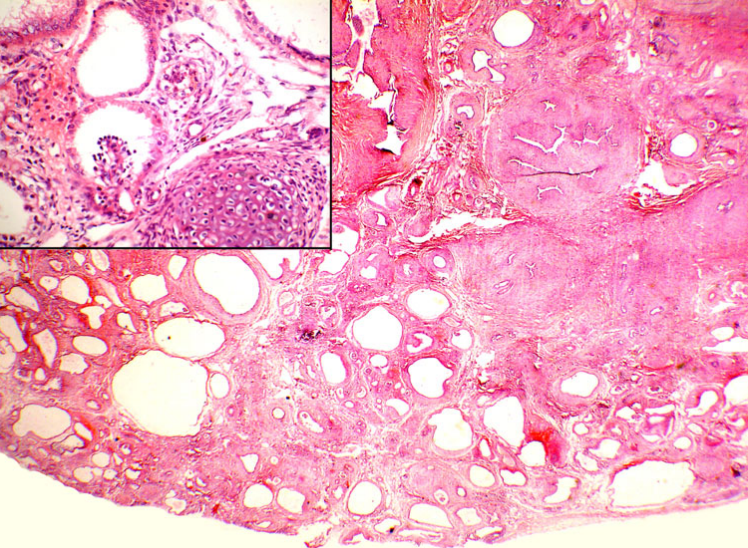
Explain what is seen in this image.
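This is a section of kidney that is largely replaced by cysts of many sizes, which appear as round or irregular empty spaces. The cysts are separated by pink fibrous stroma, and the upper part of the field is dominated by denser, paler pink tissue in which only a few small tubules and spaces are scattered. In the framed inset at the top left, a small tuft of cells protrudes into a clear space lined by a low epithelium, forming a primitive glomerulus within its capsule. Beside it, in the lower right of the inset, lies a rounded nodule of cartilage with cells resting in small clear lacunae within a smooth matrix. Loose spindle-cell stroma surrounds these structures, and a lining epithelium can be seen along the top edge of the inset.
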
